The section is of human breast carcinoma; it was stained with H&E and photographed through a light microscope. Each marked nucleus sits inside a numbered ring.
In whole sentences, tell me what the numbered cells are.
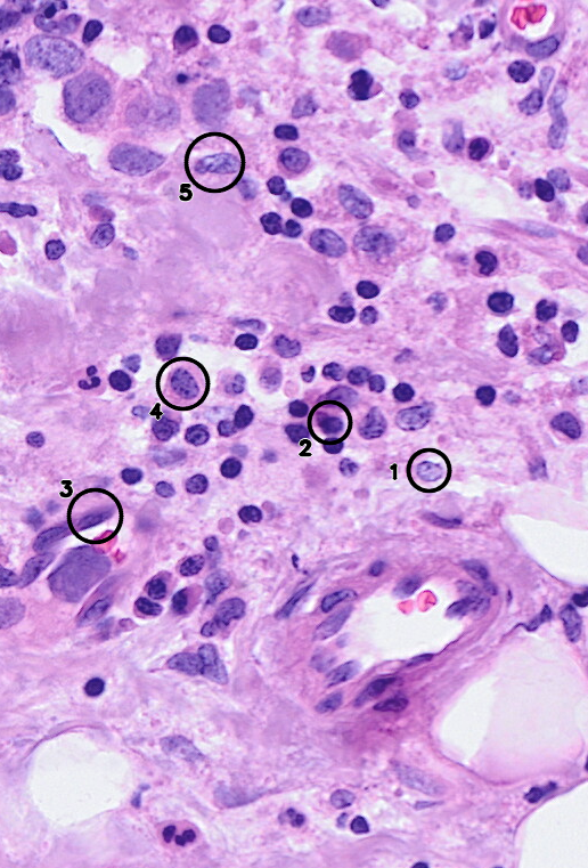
Cell 1 is a macrophage, monocyte or dendritic cell, cell 2 is a lymphocyte, cell 3 is an endothelial cell, cell 4 is a mast cell and cell 5 is a macrophage, monocyte or dendritic cell.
